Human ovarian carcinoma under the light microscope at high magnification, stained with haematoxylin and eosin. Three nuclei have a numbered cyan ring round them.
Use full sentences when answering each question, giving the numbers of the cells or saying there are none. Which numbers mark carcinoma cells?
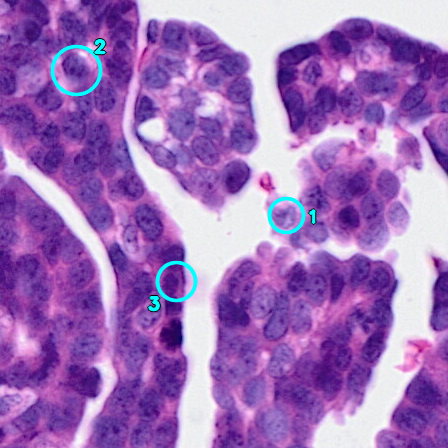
The cells whose numbers are 2 and 3 are carcinoma cells.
